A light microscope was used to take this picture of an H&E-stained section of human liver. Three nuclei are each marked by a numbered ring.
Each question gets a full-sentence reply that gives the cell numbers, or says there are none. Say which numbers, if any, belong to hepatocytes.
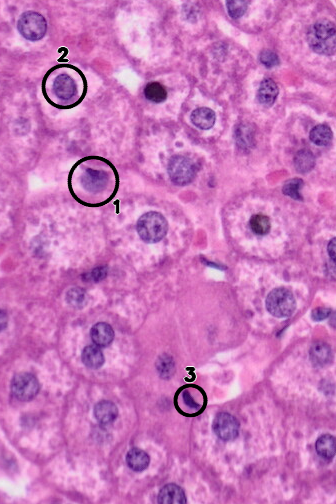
Cell 2 is the only numbered cell that is a hepatocyte.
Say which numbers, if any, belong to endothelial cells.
Among the numbered cells, an endothelial cell occurs only once, as cell 1.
